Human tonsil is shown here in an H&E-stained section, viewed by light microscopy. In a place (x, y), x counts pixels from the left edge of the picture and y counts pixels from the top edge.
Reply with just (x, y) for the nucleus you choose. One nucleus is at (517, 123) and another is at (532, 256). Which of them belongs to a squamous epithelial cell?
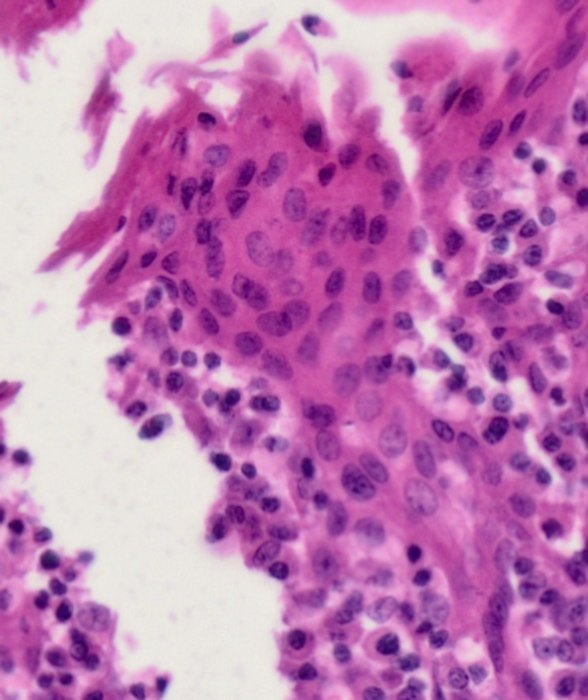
(517, 123)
